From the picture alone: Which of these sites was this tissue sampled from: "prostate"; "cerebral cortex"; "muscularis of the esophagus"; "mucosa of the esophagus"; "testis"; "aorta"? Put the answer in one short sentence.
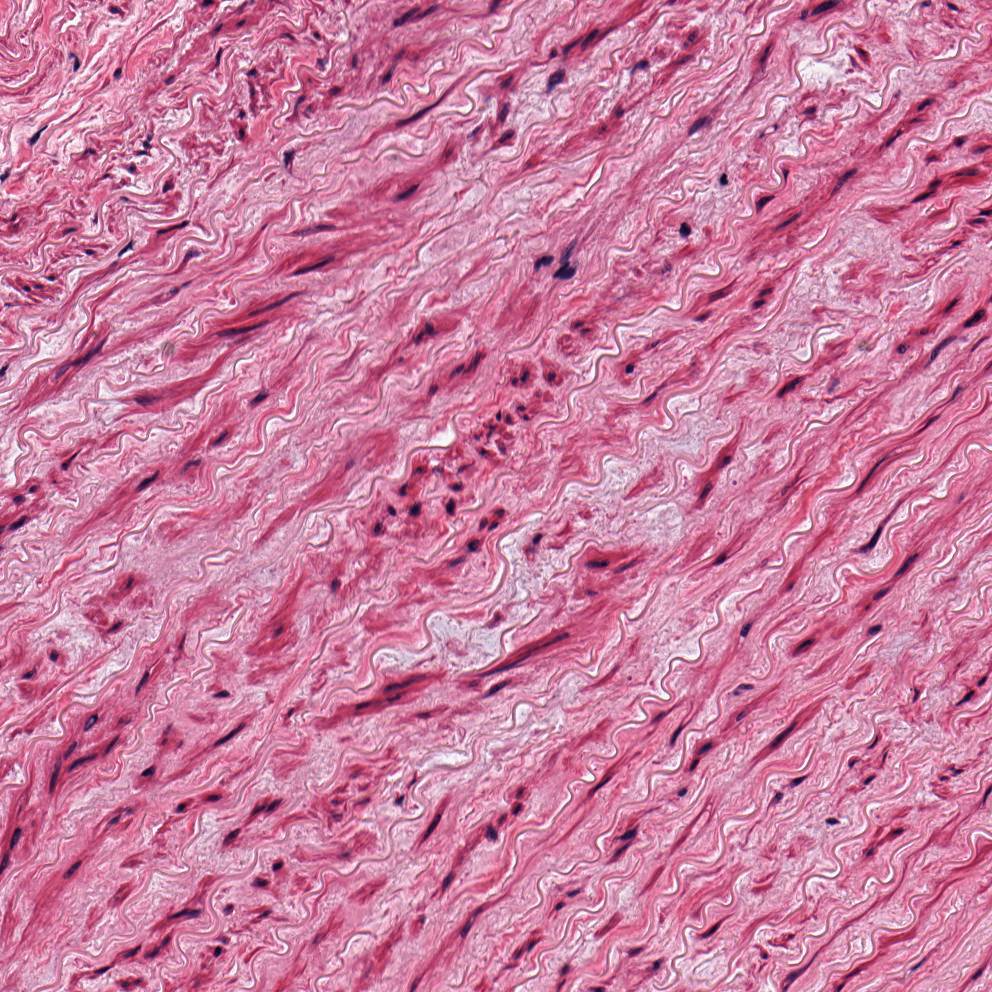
The site this tissue was sampled from is the aorta.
